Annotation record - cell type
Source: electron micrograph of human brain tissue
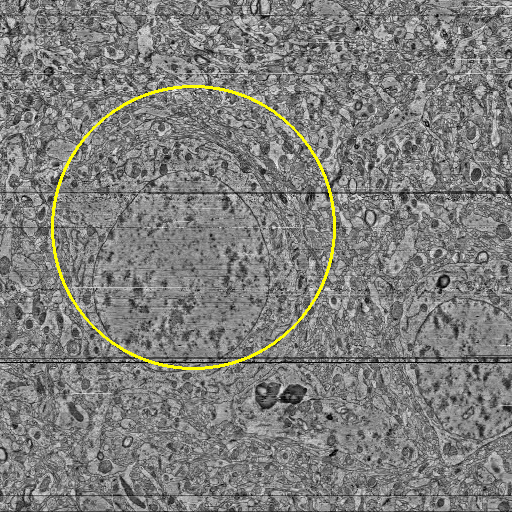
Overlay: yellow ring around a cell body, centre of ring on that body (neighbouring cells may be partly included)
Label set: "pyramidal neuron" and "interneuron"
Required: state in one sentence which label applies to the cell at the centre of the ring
This cell should be labelled as a pyramidal neuron.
